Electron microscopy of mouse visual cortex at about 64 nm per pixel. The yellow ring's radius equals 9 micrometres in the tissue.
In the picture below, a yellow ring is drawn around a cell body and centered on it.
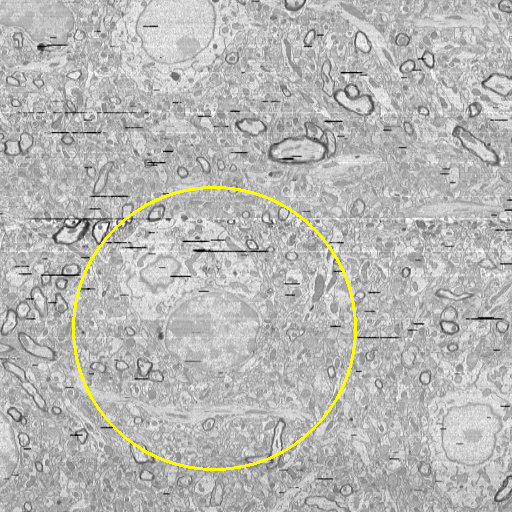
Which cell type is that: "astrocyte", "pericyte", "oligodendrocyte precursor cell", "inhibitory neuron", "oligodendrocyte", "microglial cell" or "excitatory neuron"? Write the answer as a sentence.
The cell centered in the ring is an oligodendrocyte.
